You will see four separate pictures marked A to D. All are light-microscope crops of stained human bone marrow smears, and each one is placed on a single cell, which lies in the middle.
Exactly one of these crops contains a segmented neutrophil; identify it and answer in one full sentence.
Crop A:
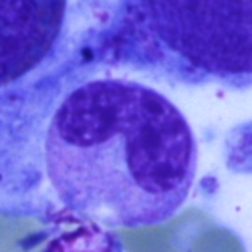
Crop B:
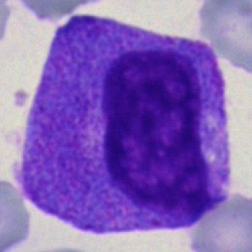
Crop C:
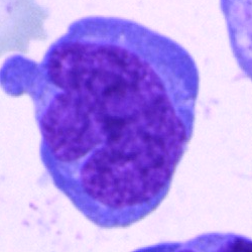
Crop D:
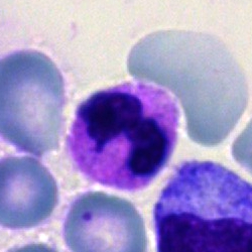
Crop D, of the crops presented, is the one showing a segmented neutrophil.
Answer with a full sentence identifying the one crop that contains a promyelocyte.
Crop B is the crop featuring a promyelocyte at its center.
